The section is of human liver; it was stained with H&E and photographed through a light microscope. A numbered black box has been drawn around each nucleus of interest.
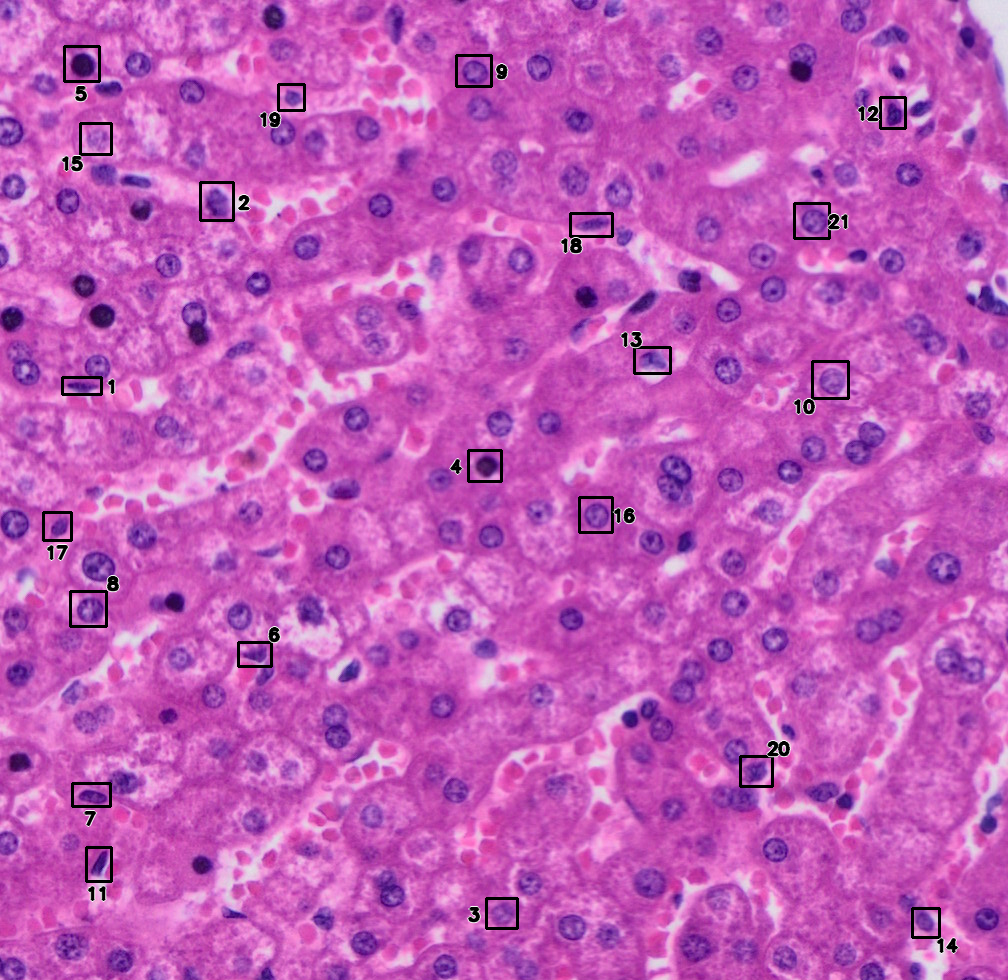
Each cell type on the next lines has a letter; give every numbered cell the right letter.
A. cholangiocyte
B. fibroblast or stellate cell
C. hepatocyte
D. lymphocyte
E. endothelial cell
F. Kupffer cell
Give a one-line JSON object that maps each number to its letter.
{"1": "E", "2": "E", "3": "C", "4": "C", "5": "C", "6": "E", "7": "B", "8": "C", "9": "C", "10": "C", "11": "E", "12": "B", "13": "E", "14": "F", "15": "C", "16": "C", "17": "D", "18": "E", "19": "D", "20": "B", "21": "C"}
